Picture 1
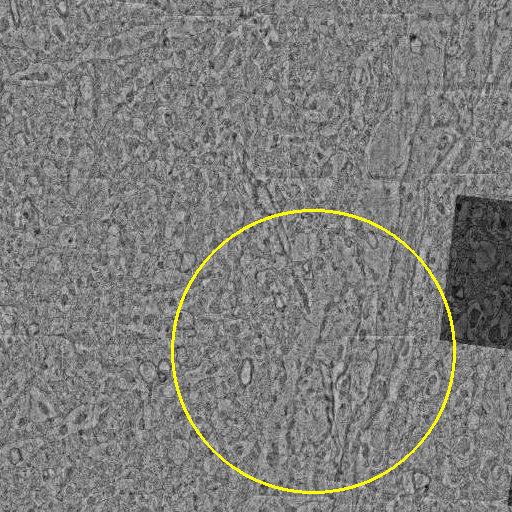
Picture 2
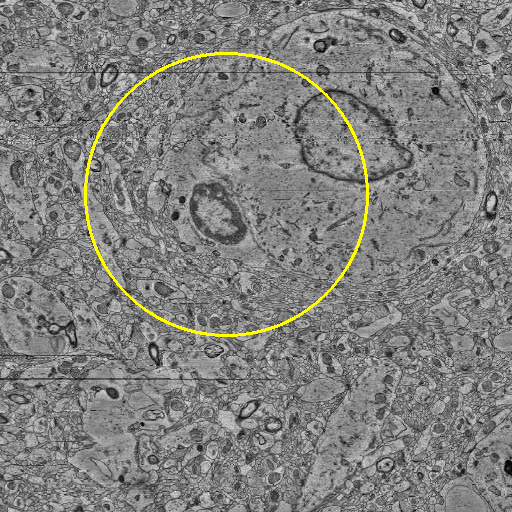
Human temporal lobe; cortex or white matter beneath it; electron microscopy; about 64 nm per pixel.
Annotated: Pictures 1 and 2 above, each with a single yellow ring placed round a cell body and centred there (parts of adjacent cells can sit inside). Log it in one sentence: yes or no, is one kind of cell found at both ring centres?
Yes, the ring centres of the two pictures hold cells of one kind.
